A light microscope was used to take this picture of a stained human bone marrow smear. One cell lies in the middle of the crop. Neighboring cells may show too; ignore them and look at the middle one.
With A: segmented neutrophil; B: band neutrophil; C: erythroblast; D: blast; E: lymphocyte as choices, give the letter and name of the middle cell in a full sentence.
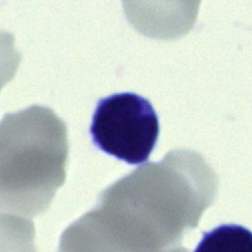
The right choice is option E: the cell in the middle is a lymphocyte.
